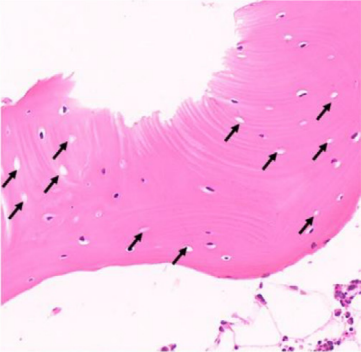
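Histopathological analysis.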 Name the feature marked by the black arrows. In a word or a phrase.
empty lacunae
